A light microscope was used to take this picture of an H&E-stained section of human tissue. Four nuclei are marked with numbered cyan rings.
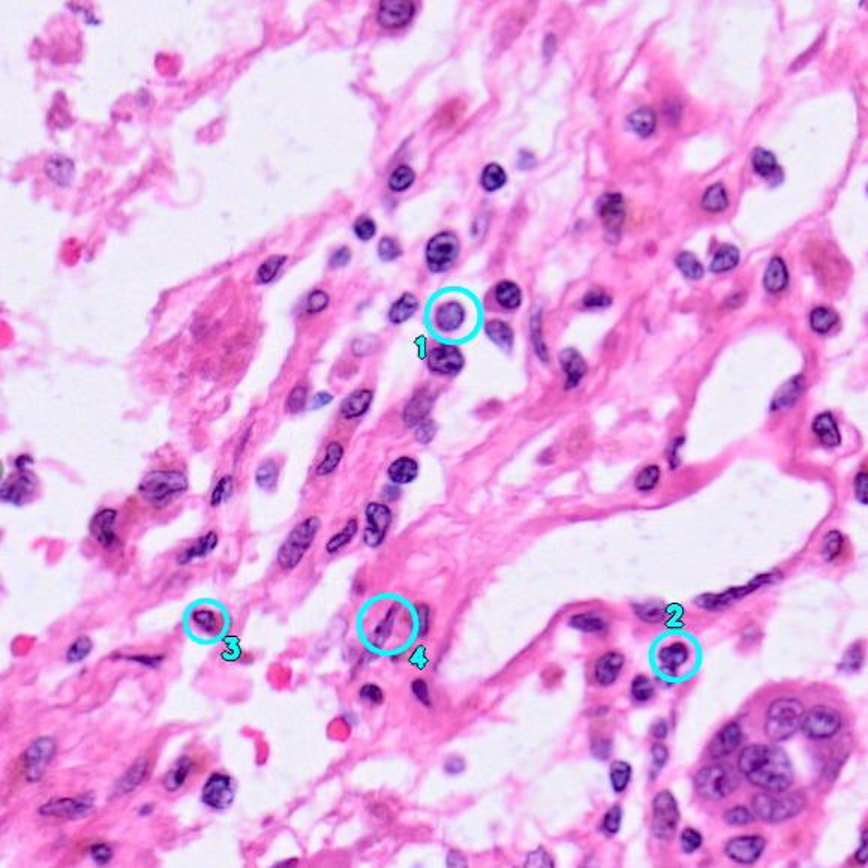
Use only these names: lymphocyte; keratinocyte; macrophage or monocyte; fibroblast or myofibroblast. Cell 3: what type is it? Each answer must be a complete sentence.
Here the cell numbered 3 is a macrophage or monocyte.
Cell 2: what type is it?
In this section, the cell tagged 2 is a lymphocyte.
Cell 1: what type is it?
Marked with the number 1, this cell is a lymphocyte.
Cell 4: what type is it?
The cell that bears the number 4 is a fibroblast or myofibroblast.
